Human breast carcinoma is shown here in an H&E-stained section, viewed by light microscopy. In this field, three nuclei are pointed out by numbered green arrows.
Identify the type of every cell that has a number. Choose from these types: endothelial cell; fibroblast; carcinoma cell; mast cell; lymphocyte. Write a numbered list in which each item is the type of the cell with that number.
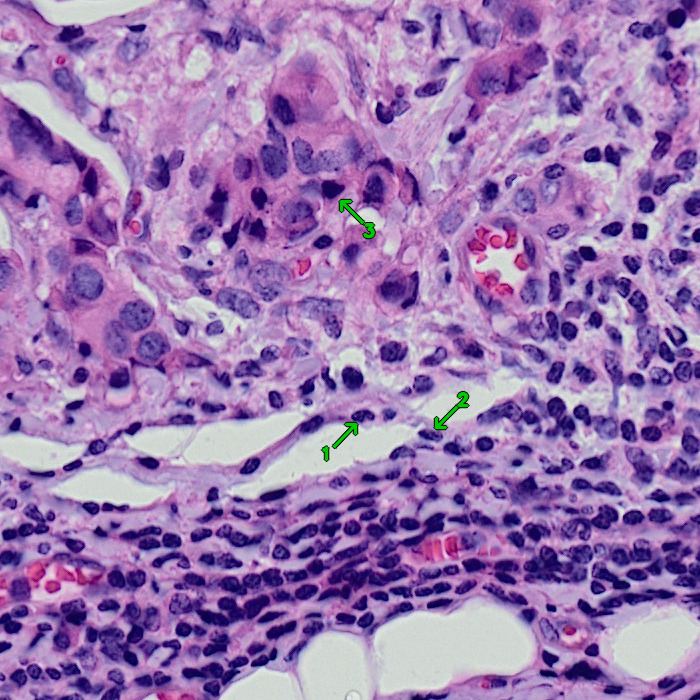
1. lymphocyte
2. lymphocyte
3. carcinoma cell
